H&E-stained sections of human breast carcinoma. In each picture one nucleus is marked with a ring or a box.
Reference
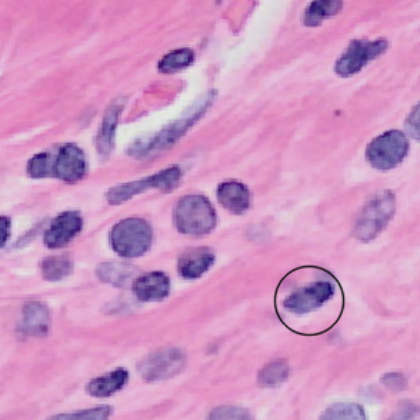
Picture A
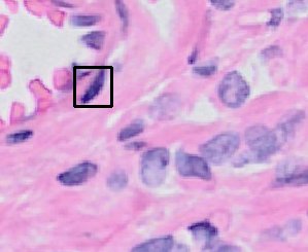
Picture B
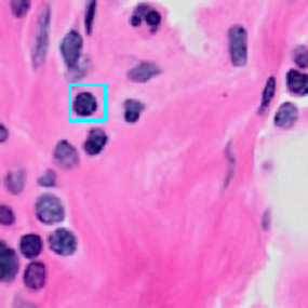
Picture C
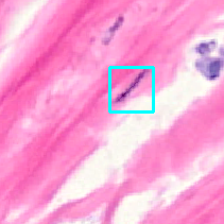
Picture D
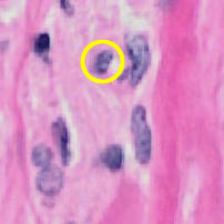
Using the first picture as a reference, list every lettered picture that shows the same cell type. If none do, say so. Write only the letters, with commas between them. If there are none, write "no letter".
B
